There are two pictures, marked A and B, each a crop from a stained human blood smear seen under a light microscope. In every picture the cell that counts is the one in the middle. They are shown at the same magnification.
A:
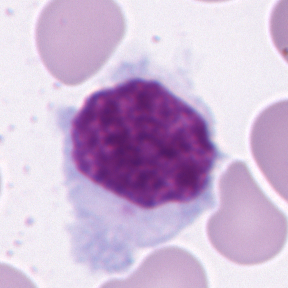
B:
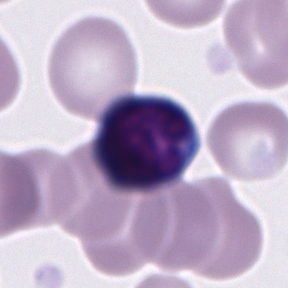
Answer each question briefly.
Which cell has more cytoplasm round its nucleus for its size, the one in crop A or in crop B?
A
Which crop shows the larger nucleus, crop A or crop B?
A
